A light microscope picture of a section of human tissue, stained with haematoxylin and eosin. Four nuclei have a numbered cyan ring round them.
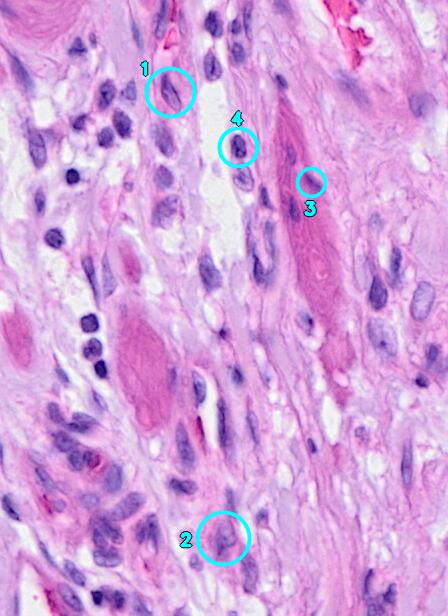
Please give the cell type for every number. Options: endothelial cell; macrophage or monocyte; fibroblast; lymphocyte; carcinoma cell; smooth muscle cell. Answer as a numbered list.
1. endothelial cell
2. endothelial cell
3. smooth muscle cell
4. lymphocyte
